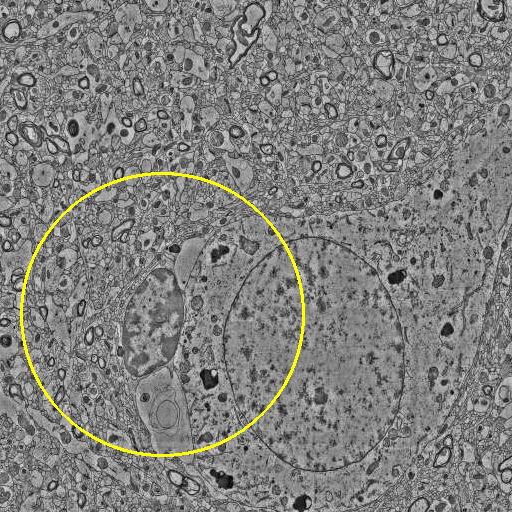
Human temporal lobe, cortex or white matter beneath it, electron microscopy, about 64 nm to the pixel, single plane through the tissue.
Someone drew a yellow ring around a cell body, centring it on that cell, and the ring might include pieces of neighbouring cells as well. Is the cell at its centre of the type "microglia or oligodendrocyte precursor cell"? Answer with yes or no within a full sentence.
Yes, within the picture, the cell the ring is centred on qualifies as that type.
